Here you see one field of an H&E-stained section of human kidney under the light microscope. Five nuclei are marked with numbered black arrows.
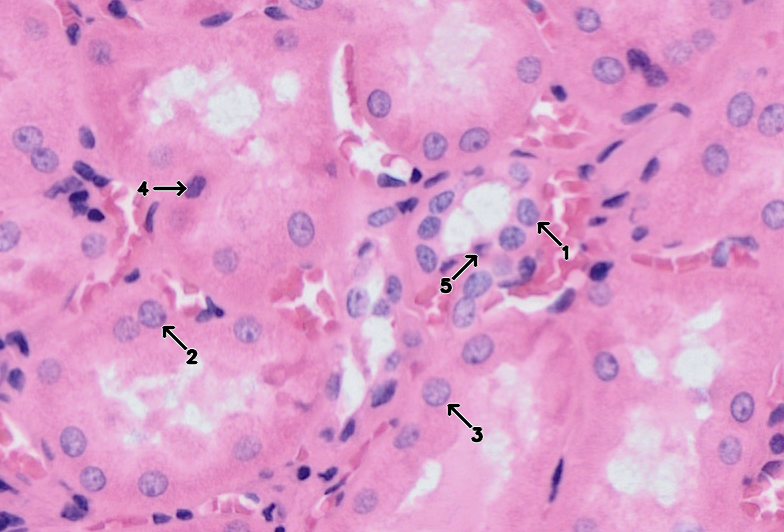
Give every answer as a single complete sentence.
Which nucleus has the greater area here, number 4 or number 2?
Nucleus 2 is the larger one, covering about 1.5 times the area of nucleus 4.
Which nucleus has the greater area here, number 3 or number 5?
Number 3 is larger; its area is about 3 times that of number 5.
